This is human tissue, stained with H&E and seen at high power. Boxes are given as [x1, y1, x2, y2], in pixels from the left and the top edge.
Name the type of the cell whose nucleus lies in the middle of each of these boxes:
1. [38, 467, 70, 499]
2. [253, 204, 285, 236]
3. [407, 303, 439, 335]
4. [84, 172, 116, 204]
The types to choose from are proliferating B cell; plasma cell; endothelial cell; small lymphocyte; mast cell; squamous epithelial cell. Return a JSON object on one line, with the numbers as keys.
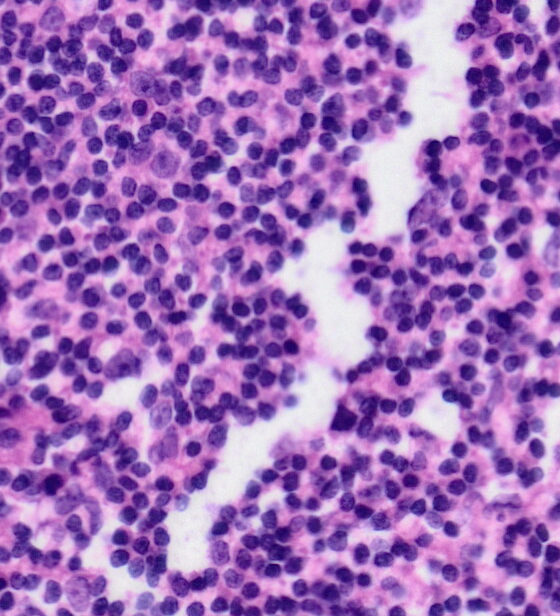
{"1": "proliferating B cell", "2": "small lymphocyte", "3": "small lymphocyte", "4": "small lymphocyte"}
